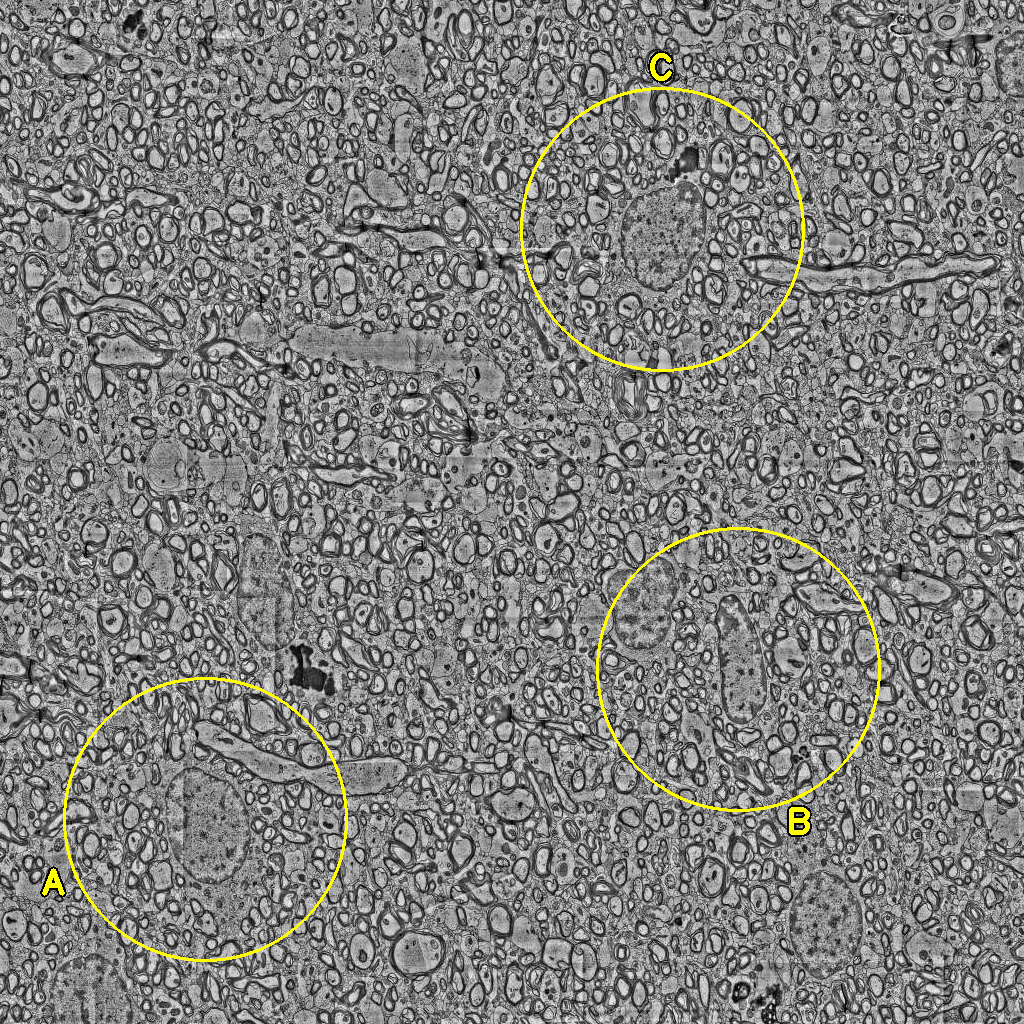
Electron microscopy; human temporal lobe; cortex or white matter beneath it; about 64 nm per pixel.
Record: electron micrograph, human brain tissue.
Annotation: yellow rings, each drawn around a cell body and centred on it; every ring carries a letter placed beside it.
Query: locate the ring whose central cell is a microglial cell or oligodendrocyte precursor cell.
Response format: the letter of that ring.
B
